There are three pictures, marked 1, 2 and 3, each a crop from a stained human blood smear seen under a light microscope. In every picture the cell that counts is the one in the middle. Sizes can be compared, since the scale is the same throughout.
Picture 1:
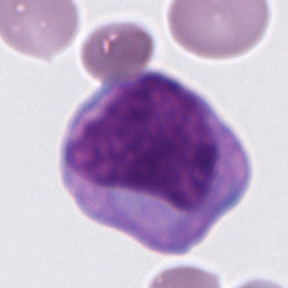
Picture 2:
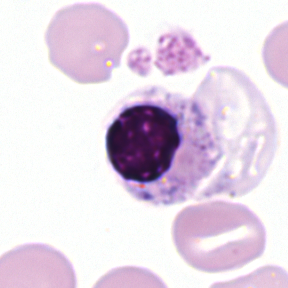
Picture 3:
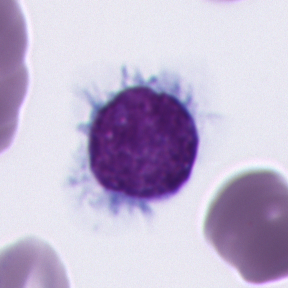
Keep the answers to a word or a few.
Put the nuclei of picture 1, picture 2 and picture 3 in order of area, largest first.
1, 3, 2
